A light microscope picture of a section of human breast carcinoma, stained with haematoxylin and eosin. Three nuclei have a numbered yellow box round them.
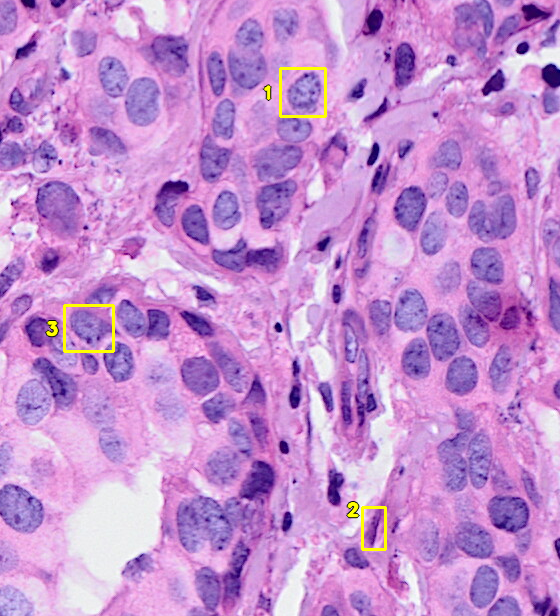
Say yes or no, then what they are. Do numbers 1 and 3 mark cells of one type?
Yes, both are carcinoma cells.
